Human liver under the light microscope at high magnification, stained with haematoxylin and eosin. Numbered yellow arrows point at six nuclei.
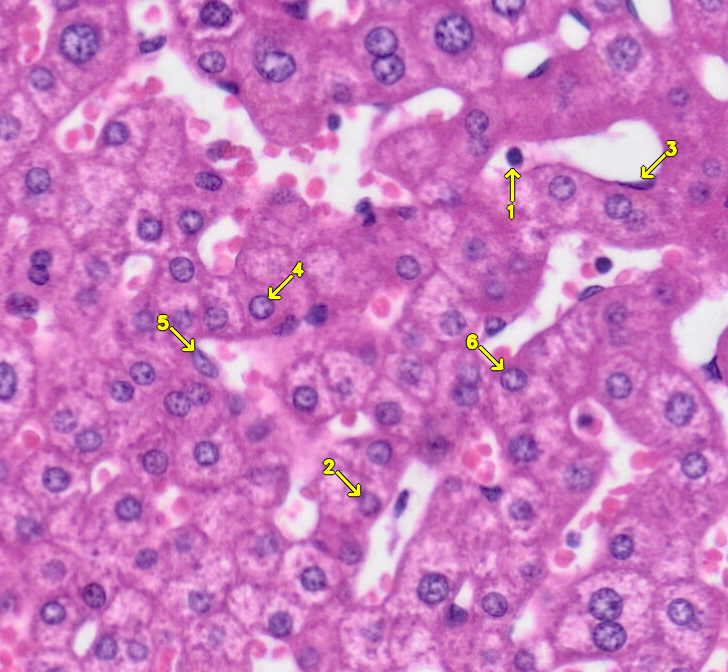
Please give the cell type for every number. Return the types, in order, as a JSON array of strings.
["lymphocyte", "hepatocyte", "fibroblast or stellate cell", "hepatocyte", "Kupffer cell", "hepatocyte"]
